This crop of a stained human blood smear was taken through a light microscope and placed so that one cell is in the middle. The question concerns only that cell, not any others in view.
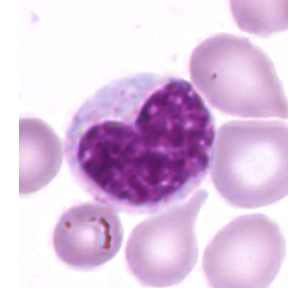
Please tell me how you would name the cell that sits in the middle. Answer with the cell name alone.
metamyelocyte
